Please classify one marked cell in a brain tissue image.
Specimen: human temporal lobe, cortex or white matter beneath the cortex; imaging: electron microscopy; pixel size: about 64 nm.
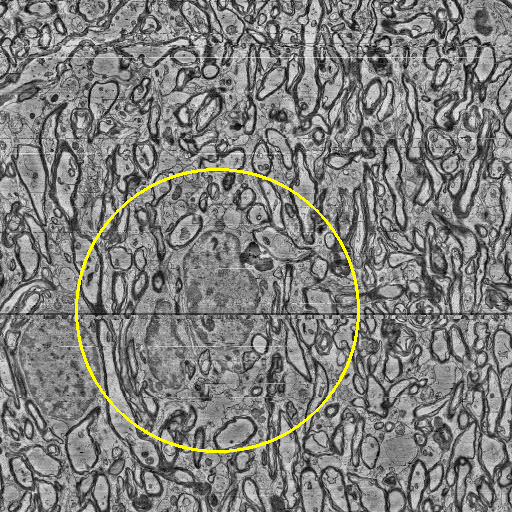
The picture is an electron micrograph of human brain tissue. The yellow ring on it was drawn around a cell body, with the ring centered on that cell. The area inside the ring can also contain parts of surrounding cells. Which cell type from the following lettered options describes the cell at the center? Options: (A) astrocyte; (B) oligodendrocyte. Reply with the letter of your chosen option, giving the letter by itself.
B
